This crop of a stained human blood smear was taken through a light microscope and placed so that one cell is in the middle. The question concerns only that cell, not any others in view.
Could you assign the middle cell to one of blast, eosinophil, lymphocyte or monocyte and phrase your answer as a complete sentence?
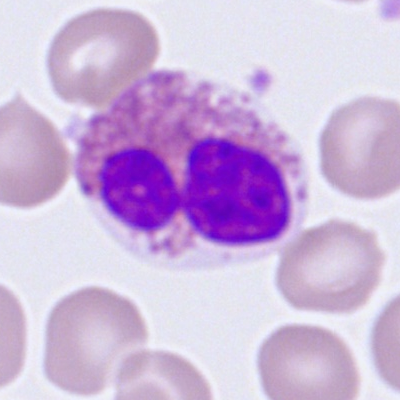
This particular crop is centered on an eosinophil.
